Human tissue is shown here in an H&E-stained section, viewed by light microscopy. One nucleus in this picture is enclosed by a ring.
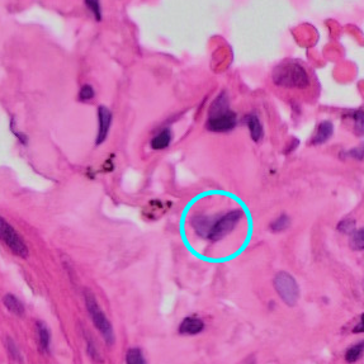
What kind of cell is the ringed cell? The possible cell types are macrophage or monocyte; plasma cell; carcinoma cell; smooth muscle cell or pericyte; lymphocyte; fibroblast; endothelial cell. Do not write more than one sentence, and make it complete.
Placed in its cell category, the ringed cell is a fibroblast.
